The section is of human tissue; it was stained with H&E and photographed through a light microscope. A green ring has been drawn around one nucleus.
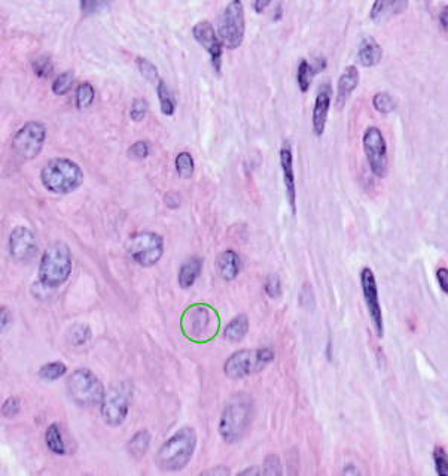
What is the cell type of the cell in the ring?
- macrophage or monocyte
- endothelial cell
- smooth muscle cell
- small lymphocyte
smooth muscle cell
